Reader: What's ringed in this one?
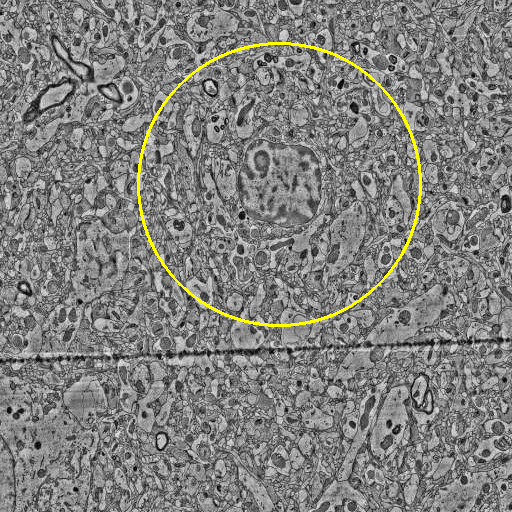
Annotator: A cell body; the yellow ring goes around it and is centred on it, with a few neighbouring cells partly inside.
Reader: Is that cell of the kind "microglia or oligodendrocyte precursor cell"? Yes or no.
yes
